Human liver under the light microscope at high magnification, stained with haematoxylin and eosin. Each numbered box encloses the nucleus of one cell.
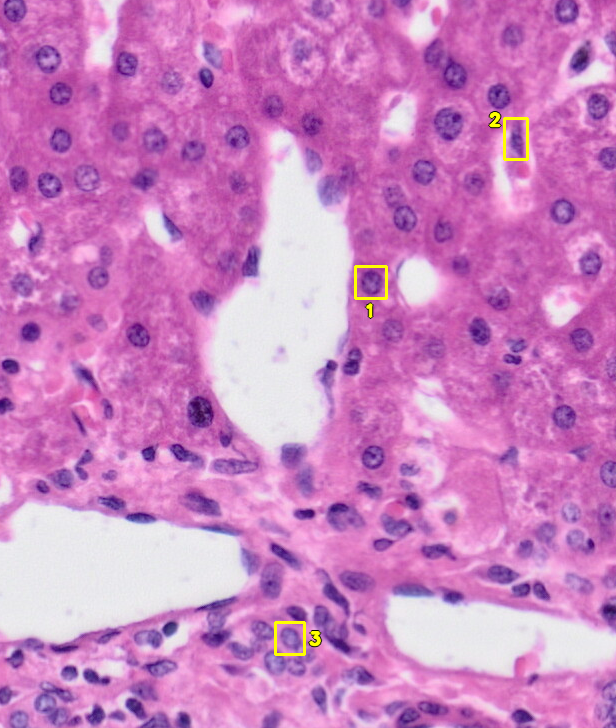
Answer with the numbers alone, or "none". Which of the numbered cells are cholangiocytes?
3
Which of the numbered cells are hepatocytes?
1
